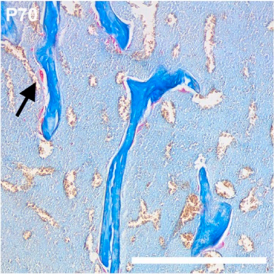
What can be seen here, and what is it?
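Blue-stained bone trabeculae cross pale marrow in long, narrow struts. A few red-stained osteoclasts sit on the bone surface at the edge of a trabecula.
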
